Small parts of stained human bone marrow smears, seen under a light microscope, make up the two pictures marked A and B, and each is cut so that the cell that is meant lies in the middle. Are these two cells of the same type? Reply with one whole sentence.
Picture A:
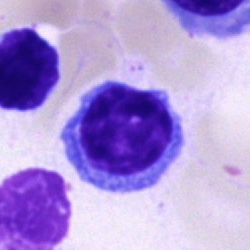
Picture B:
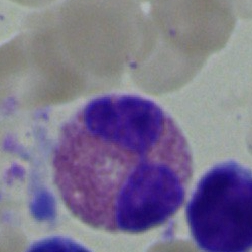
No, the types are not the same, since picture A shows a lymphocyte and picture B an eosinophil.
